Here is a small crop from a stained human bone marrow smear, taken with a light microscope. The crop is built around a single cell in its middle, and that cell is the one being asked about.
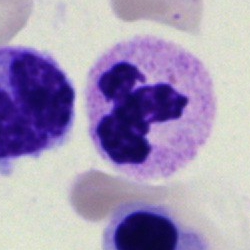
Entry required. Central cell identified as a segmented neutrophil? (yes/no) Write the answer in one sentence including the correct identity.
Yes, in the centre of this field sits a segmented neutrophil.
